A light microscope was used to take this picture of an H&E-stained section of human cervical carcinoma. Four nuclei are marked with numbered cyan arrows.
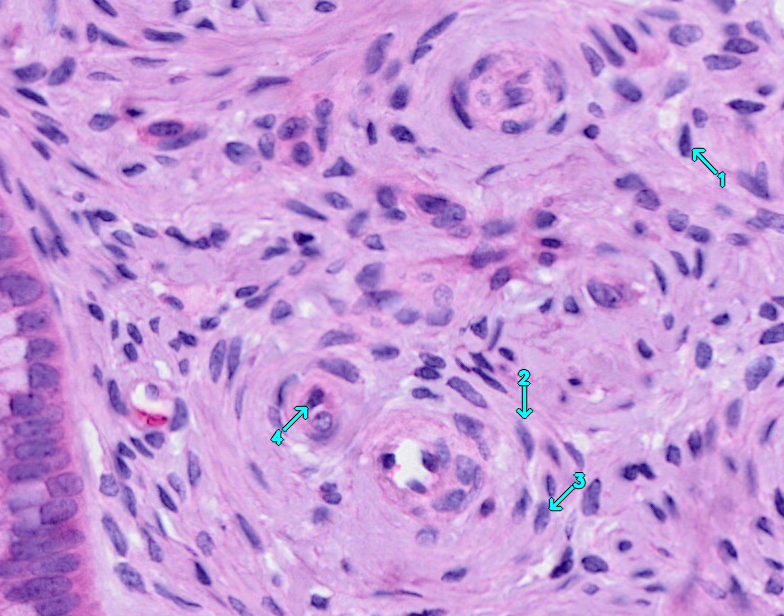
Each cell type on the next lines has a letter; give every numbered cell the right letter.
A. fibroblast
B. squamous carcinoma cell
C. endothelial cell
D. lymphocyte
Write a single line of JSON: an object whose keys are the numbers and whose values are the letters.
{"1": "A", "2": "A", "3": "A", "4": "C"}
